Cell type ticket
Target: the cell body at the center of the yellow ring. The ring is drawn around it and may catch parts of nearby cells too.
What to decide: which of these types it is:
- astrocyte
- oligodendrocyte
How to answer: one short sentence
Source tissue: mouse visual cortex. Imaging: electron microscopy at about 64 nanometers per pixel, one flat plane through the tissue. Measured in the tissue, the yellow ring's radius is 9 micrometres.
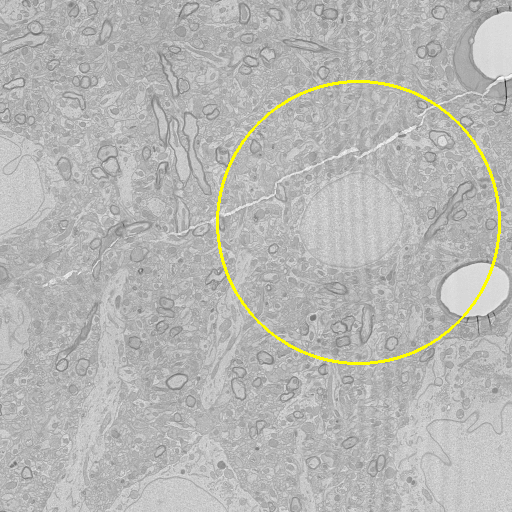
The cell at the center of the ring is an astrocyte.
